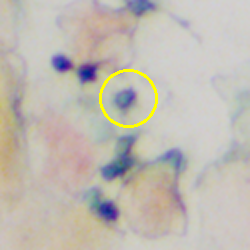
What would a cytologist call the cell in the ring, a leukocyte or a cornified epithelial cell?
A cytologist would call it a leukocyte.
